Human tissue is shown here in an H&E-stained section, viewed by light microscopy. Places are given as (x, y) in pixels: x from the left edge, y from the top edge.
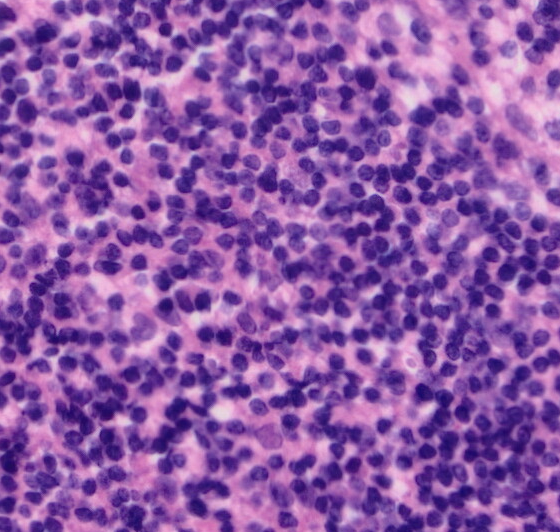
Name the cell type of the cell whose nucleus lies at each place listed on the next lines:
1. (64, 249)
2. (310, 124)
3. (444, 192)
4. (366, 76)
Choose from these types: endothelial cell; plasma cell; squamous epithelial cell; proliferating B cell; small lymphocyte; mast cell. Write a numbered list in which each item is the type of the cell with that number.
1. small lymphocyte
2. small lymphocyte
3. small lymphocyte
4. proliferating B cell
